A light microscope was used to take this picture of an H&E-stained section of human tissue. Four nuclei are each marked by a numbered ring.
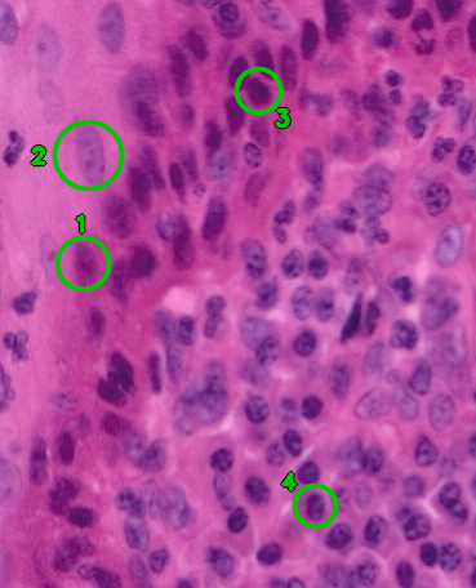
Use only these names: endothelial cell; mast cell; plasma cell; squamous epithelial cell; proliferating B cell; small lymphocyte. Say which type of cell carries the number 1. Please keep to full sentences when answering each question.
In this section, the cell tagged 1 is a squamous epithelial cell.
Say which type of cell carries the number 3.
The cell with the number 3 is a squamous epithelial cell.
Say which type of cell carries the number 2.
That cell with number 2 is a squamous epithelial cell.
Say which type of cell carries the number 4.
The cell tagged with 4 in this tissue section is a plasma cell.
